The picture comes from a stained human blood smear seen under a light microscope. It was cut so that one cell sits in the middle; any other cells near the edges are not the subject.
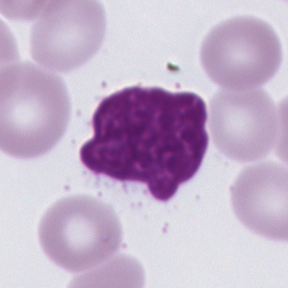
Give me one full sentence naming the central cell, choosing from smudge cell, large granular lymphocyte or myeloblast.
Whatever else lies nearby, the middle cell is a smudge cell.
